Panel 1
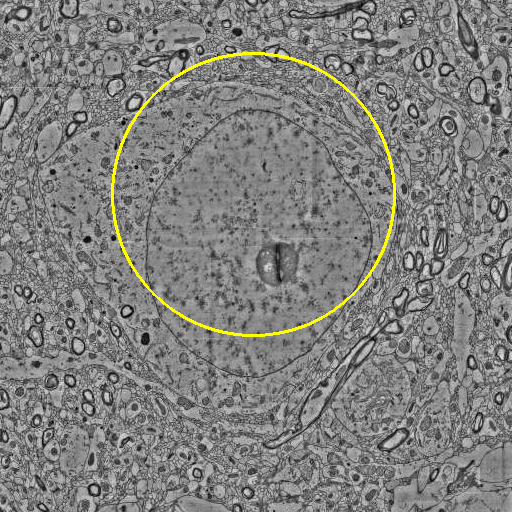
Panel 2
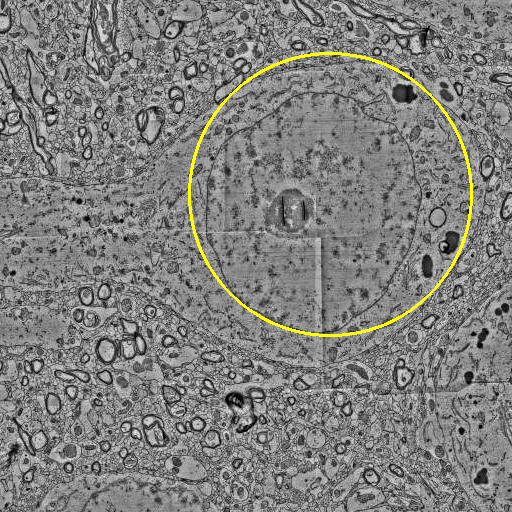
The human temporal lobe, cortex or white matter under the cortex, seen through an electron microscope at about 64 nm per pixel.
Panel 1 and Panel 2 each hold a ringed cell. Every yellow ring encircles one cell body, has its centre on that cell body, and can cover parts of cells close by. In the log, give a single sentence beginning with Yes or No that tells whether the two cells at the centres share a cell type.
Yes, in Panel 1 and Panel 2 the centred cells share a cell type.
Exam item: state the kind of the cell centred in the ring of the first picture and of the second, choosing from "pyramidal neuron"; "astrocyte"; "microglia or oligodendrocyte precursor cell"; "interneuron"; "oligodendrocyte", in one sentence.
Each of the two rings is centred on a pyramidal neuron.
